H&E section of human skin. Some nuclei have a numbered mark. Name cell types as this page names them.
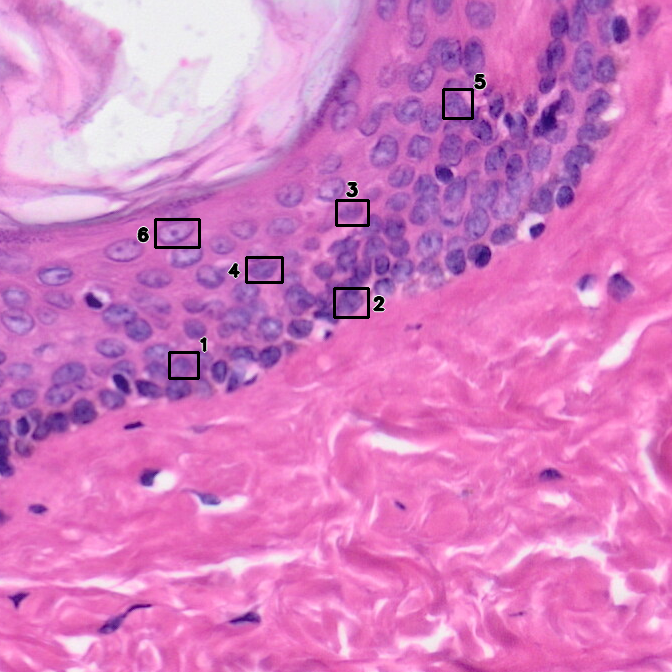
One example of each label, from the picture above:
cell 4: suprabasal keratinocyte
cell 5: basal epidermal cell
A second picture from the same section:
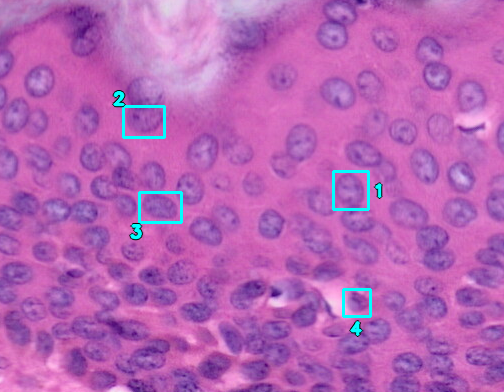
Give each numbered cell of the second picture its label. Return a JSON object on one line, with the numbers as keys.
{"1": "suprabasal keratinocyte", "2": "suprabasal keratinocyte", "3": "suprabasal keratinocyte", "4": "basal epidermal cell"}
